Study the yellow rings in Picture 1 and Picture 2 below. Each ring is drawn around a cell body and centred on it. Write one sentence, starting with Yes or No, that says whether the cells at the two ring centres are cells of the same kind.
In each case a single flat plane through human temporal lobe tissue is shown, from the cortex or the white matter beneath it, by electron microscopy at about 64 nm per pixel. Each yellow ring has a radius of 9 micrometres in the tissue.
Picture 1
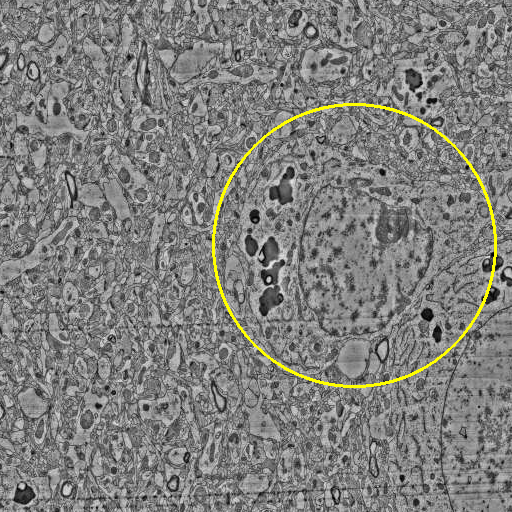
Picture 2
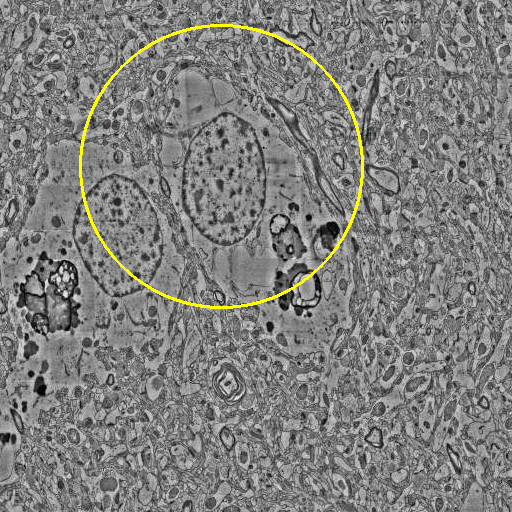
No, the cells at the ring centres are of two kinds.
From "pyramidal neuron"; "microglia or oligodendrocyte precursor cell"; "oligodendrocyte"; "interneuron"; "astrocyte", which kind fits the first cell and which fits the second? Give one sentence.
The cell marked in the first picture is an interneuron, and the one marked in the second is an astrocyte.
